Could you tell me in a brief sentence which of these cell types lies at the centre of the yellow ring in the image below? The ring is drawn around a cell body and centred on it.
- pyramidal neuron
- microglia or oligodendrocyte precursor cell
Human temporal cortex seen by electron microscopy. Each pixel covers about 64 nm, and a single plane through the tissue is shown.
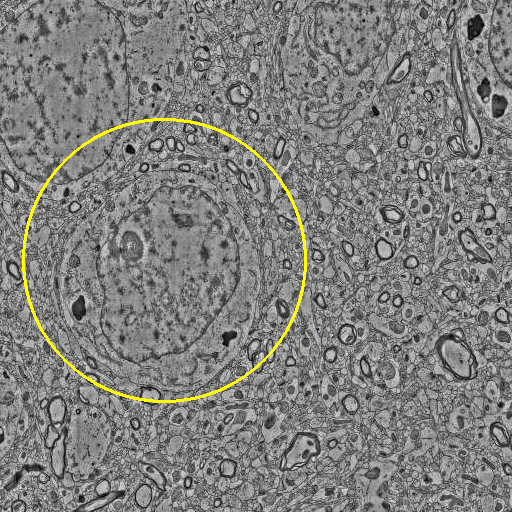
The cell centred in the ring is a pyramidal neuron.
